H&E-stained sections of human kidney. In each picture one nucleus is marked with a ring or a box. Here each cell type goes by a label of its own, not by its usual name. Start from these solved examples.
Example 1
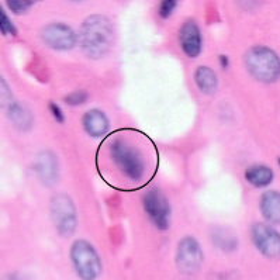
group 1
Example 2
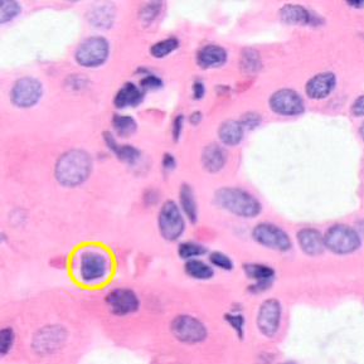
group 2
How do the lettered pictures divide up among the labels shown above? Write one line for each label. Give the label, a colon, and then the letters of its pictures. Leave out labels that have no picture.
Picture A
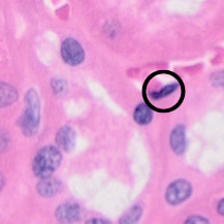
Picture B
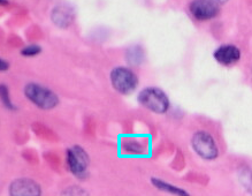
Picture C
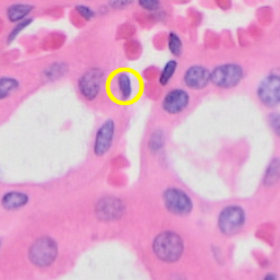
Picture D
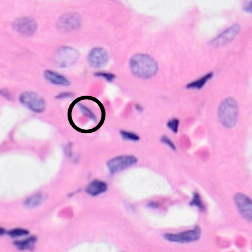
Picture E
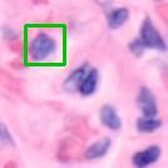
group 2: A, B, C, D, E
